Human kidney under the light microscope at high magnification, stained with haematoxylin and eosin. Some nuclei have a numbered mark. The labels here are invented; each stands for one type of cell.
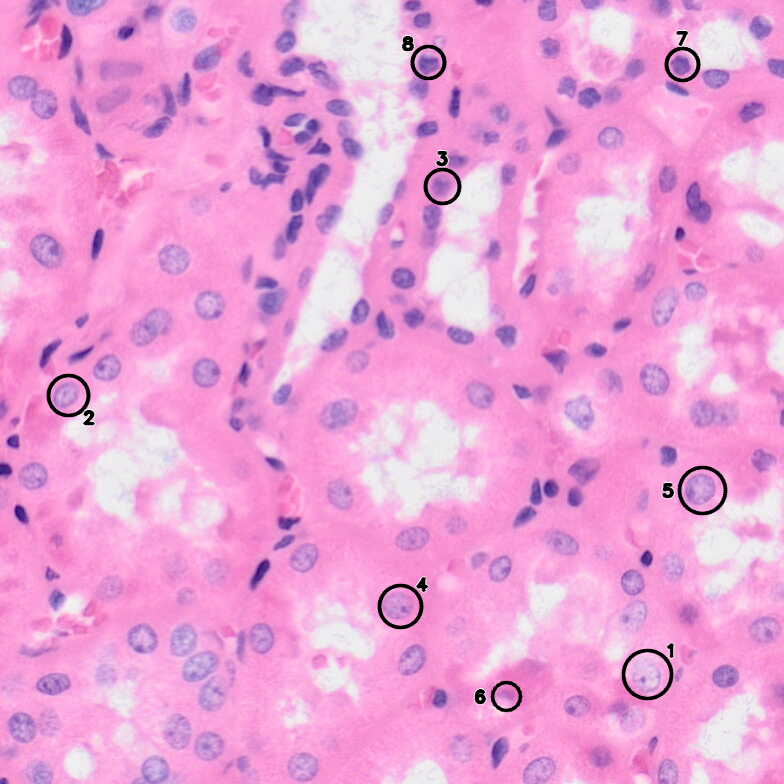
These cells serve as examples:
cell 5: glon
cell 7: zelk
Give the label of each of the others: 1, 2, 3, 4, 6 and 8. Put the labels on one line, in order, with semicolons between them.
glon; glon; zelk; glon; glon; zelk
